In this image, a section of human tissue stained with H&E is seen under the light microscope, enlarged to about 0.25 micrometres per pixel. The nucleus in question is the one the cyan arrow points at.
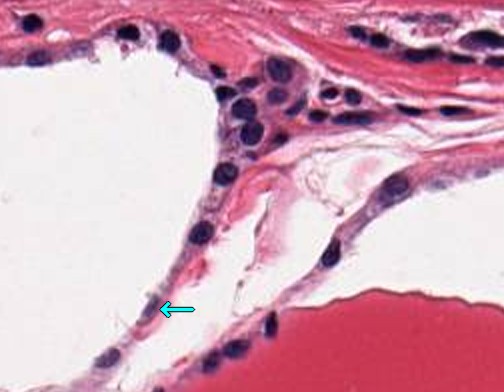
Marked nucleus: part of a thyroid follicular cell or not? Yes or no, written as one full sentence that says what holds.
Yes, the marked nucleus belongs to a thyroid follicular cell.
